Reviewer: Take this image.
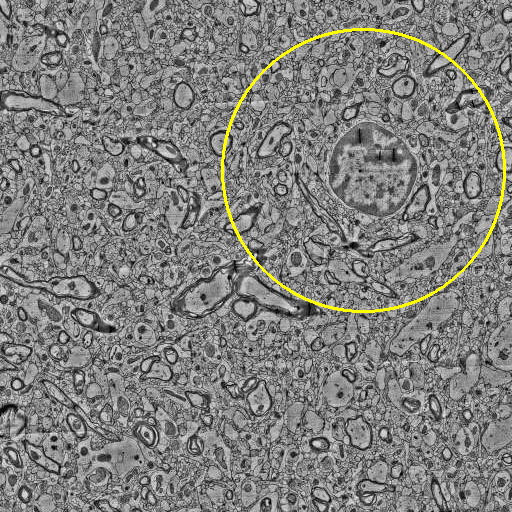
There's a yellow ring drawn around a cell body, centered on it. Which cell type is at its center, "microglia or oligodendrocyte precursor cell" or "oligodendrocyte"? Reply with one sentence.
At the center of the yellow ring is a microglial cell or oligodendrocyte precursor cell.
